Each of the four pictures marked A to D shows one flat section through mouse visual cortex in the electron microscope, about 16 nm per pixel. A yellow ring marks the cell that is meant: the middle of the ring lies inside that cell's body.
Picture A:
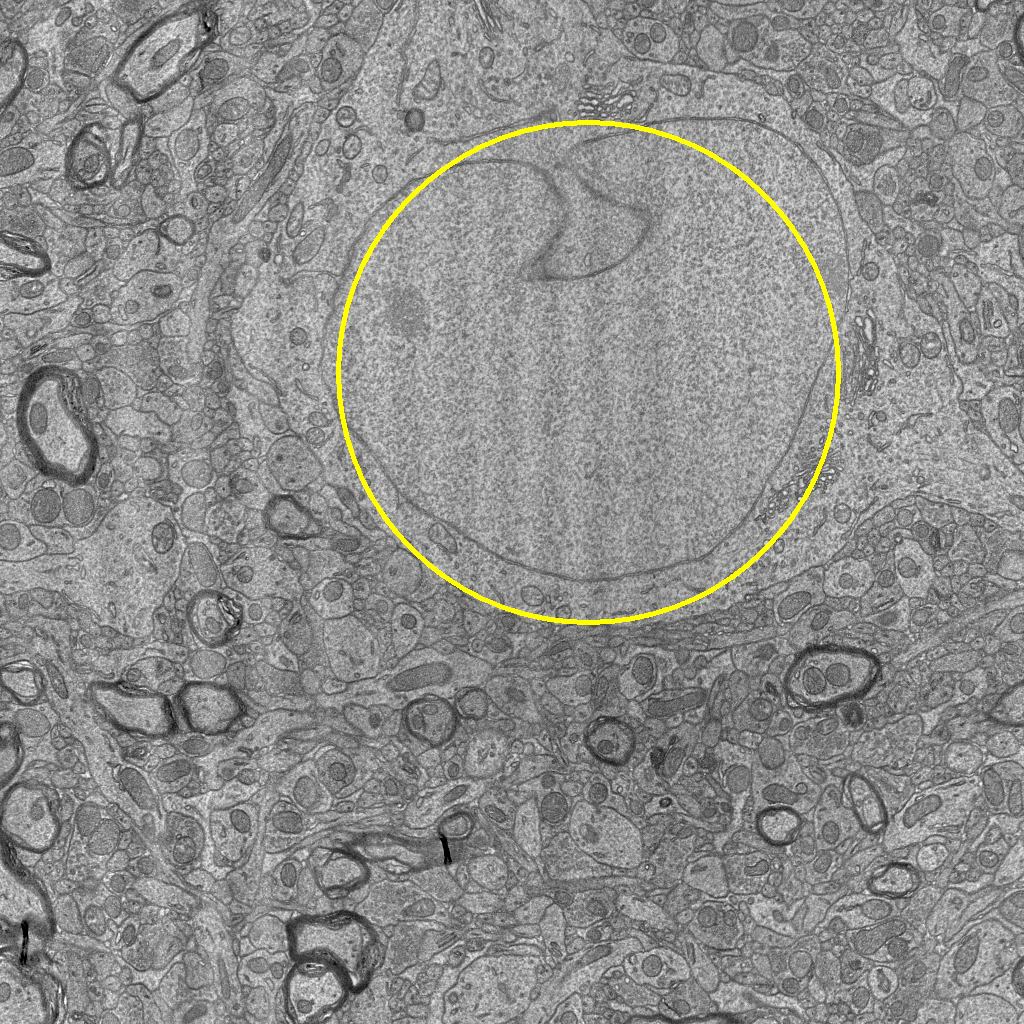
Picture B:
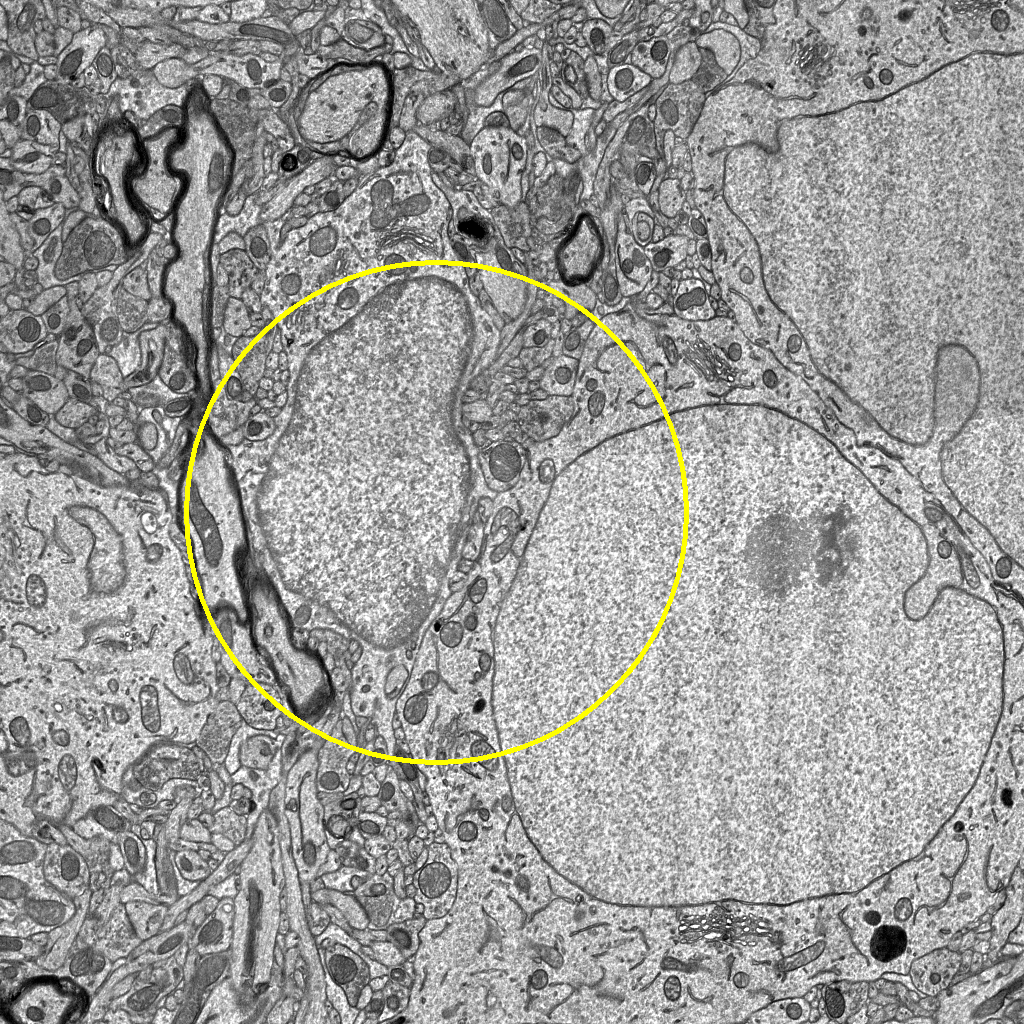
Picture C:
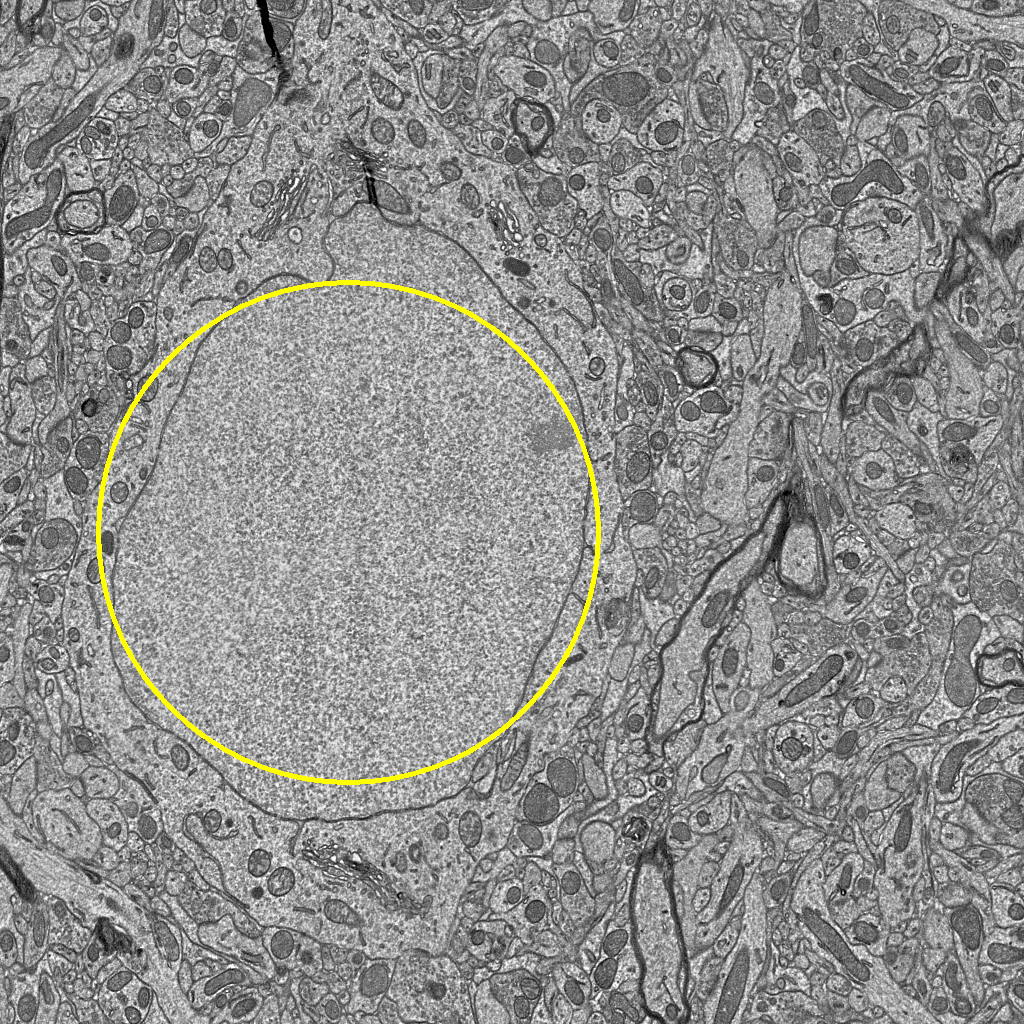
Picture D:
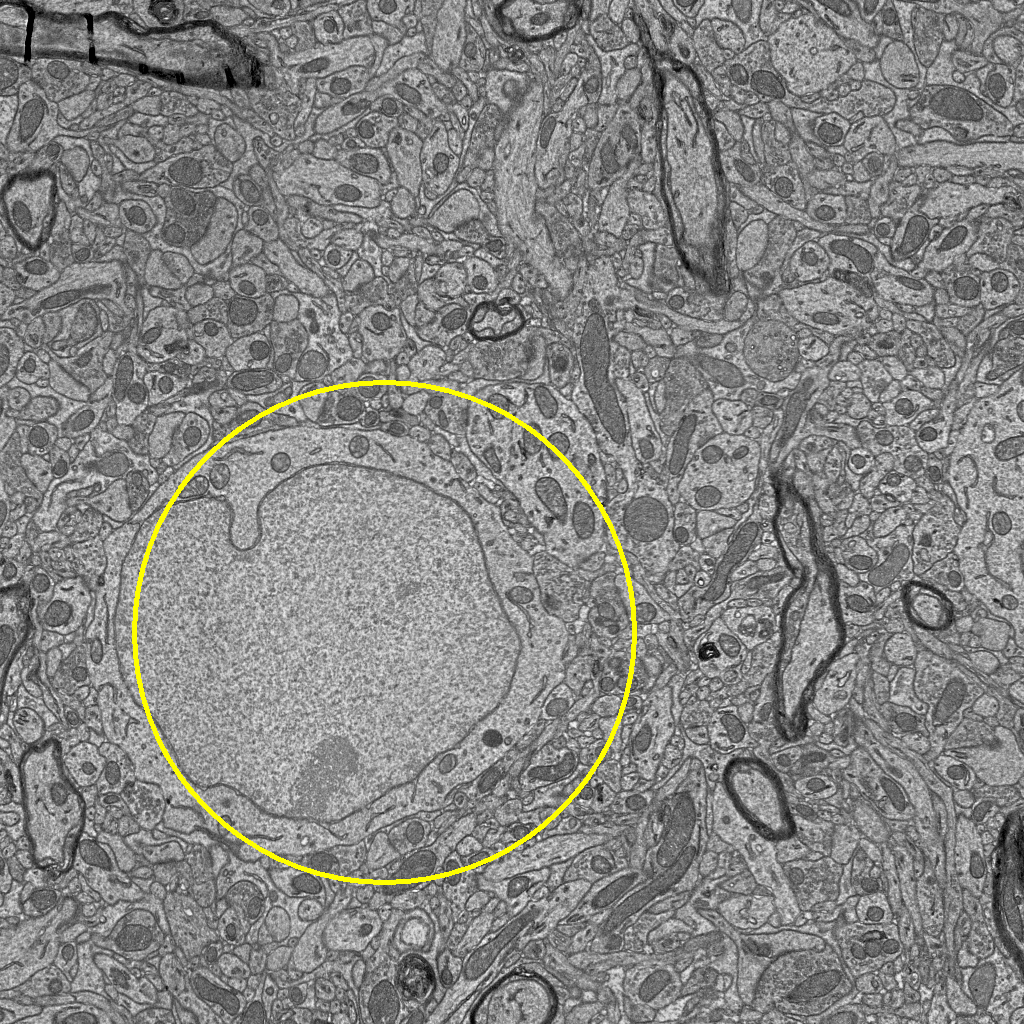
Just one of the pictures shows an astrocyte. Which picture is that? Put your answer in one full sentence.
Picture B shows the astrocyte.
